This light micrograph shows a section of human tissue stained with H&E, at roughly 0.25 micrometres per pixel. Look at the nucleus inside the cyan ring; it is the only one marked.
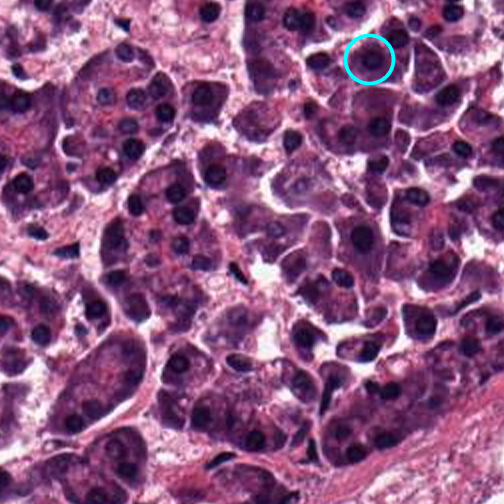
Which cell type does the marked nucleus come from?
pancreatic acinar cell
